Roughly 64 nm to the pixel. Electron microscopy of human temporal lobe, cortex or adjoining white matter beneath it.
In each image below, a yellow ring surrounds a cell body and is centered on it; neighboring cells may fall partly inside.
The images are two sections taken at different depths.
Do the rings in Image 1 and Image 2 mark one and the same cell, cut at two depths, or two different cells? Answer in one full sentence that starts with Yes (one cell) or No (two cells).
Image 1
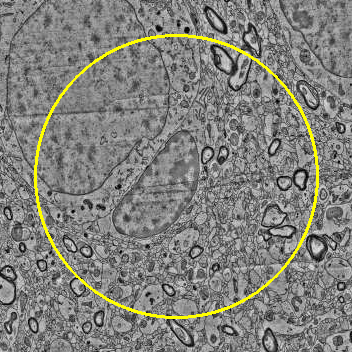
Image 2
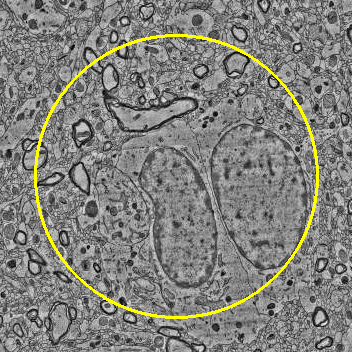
No, the two rings do not mark one cell; they mark two different cells.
